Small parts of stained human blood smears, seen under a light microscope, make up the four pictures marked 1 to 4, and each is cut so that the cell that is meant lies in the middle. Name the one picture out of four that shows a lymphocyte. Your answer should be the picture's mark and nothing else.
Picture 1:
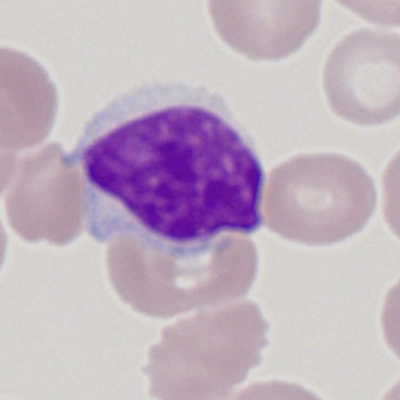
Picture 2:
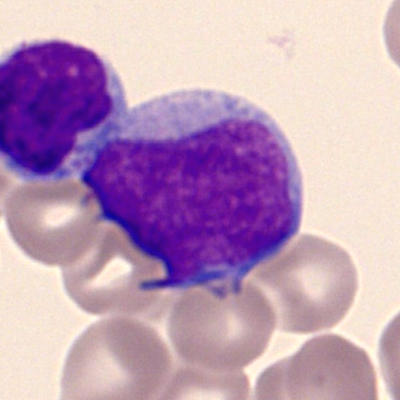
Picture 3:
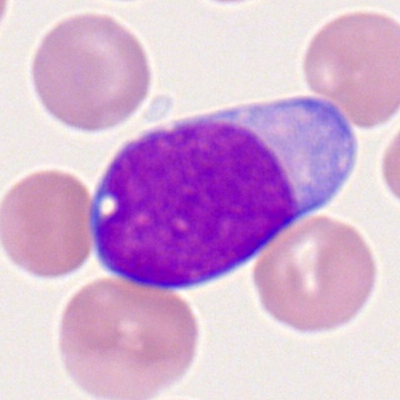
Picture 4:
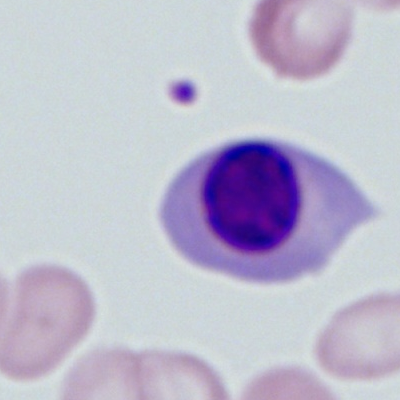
1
